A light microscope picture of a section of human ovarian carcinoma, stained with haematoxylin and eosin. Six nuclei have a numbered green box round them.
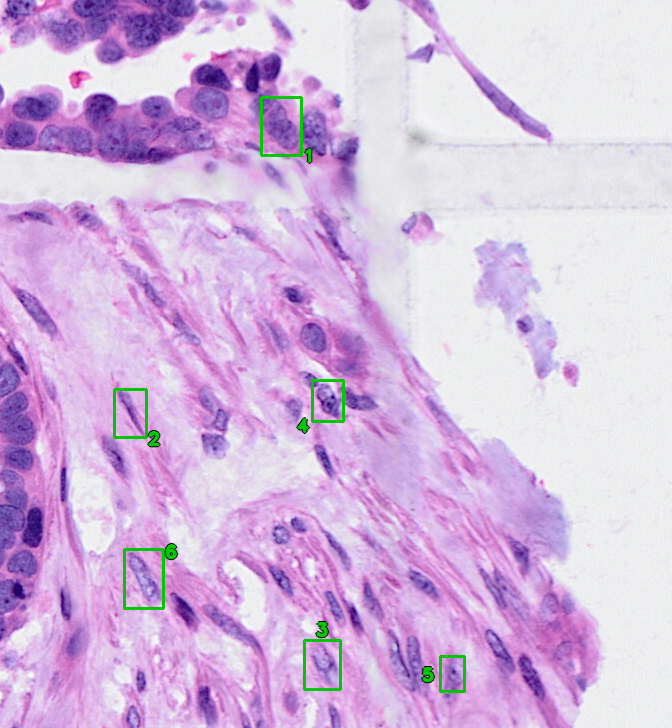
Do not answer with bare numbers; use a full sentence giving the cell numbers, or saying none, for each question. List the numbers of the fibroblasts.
The cells referred to by the numbers 2, 3, 5 and 6 are fibroblasts.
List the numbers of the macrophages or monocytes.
There is just one numbered cell that is a macrophage or monocyte, and it is cell 4.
